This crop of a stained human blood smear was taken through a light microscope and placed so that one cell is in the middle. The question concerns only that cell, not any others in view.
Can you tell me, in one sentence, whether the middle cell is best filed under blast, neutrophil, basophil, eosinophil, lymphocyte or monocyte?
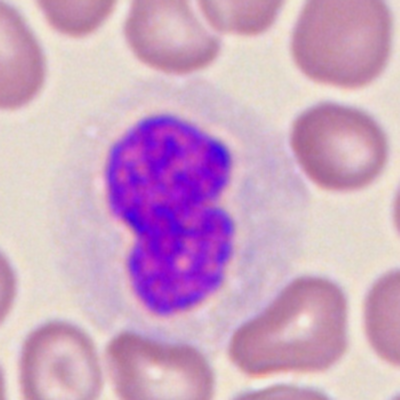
The cell shown in the center of this light-microscope crop is a monocyte.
